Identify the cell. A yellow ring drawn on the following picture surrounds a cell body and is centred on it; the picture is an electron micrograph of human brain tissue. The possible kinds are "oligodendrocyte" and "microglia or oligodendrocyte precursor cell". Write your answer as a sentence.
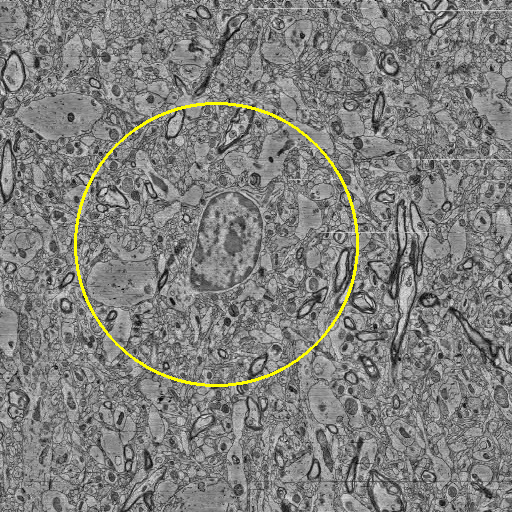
The cell identified by the ring is a microglial cell or oligodendrocyte precursor cell.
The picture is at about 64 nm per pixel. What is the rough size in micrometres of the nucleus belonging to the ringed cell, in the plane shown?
The nucleus comes to approximately 7 by 4 micrometres and is clearly longer than it is wide in this plane.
